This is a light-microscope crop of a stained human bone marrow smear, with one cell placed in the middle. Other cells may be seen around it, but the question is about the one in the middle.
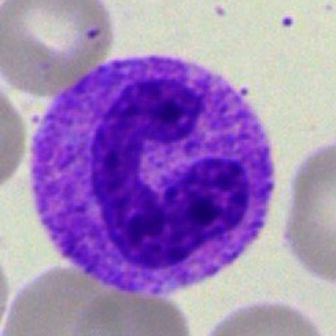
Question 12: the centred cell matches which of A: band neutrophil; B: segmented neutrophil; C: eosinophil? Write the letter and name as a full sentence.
The one cell at the centre is a band neutrophil, as correctly stated in option A.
